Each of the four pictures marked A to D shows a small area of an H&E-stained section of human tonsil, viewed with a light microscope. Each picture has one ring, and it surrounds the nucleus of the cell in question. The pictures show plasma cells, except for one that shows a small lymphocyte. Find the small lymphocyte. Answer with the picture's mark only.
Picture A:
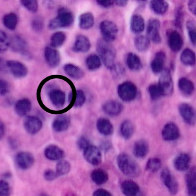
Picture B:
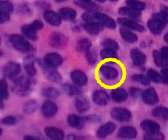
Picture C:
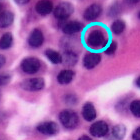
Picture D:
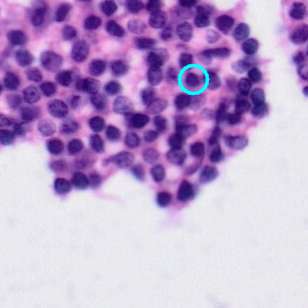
D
